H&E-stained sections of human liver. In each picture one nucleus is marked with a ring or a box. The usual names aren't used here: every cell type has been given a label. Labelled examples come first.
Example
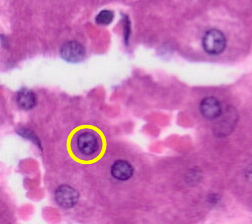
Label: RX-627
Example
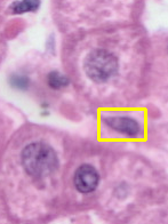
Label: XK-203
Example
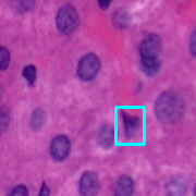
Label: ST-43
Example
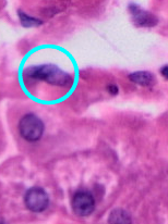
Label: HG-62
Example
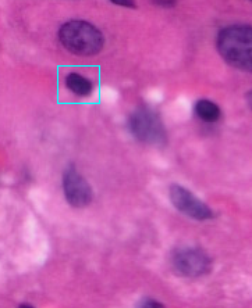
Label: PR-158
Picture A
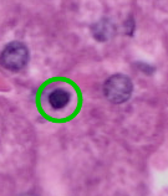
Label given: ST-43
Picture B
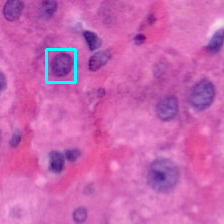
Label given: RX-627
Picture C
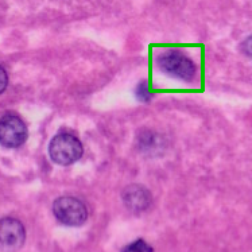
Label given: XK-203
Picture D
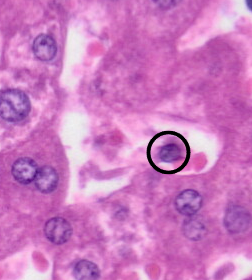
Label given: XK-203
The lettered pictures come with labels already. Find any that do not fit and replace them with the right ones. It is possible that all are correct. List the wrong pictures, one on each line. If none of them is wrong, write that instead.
A: PR-158, not ST-43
